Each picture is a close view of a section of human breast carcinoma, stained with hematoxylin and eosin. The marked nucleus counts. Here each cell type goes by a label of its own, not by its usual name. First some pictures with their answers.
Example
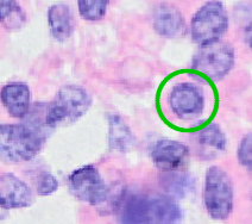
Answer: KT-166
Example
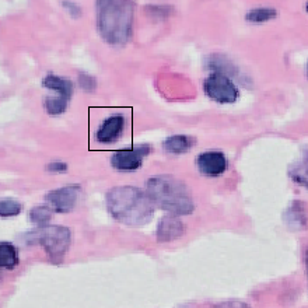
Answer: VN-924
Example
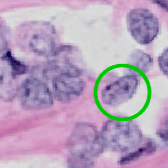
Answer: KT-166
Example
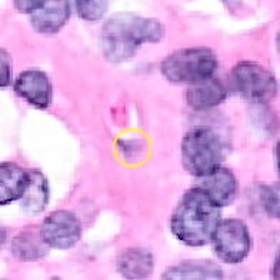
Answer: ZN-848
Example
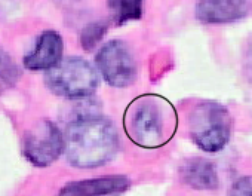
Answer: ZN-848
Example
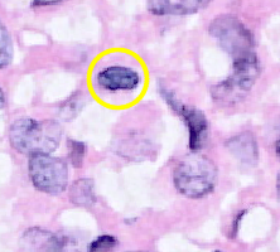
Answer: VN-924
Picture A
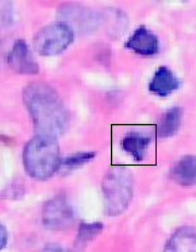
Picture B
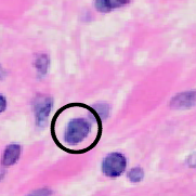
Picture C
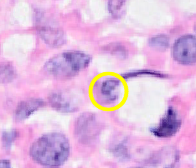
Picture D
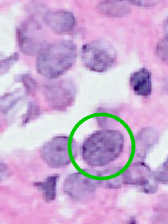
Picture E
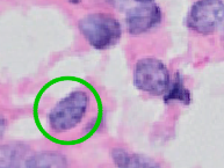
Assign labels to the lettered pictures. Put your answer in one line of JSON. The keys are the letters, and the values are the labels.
{"A": "VN-924", "B": "VN-924", "C": "ZN-848", "D": "KT-166", "E": "KT-166"}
